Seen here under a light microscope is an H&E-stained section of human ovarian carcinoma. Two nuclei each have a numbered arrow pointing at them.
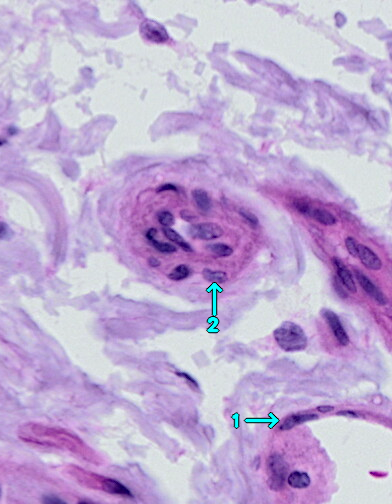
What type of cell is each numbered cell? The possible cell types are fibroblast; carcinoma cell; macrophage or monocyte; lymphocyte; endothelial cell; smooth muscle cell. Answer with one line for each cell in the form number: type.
1: endothelial cell
2: smooth muscle cell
